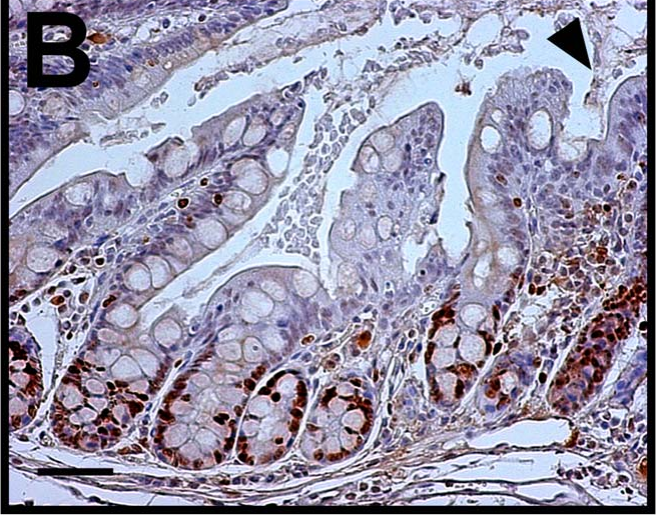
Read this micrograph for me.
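This is colonic mucosa with blue-counterstained epithelium forming glands at the base and projections reaching up toward the lumen. Many nuclei at the bottoms of the glands are stained dark brown, forming compact clusters around the gland bases. Higher up, along the projections, the epithelial nuclei are blue and the pale goblet cells are numerous. Scattered brown nuclei also lie in the connective tissue between the glands.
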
